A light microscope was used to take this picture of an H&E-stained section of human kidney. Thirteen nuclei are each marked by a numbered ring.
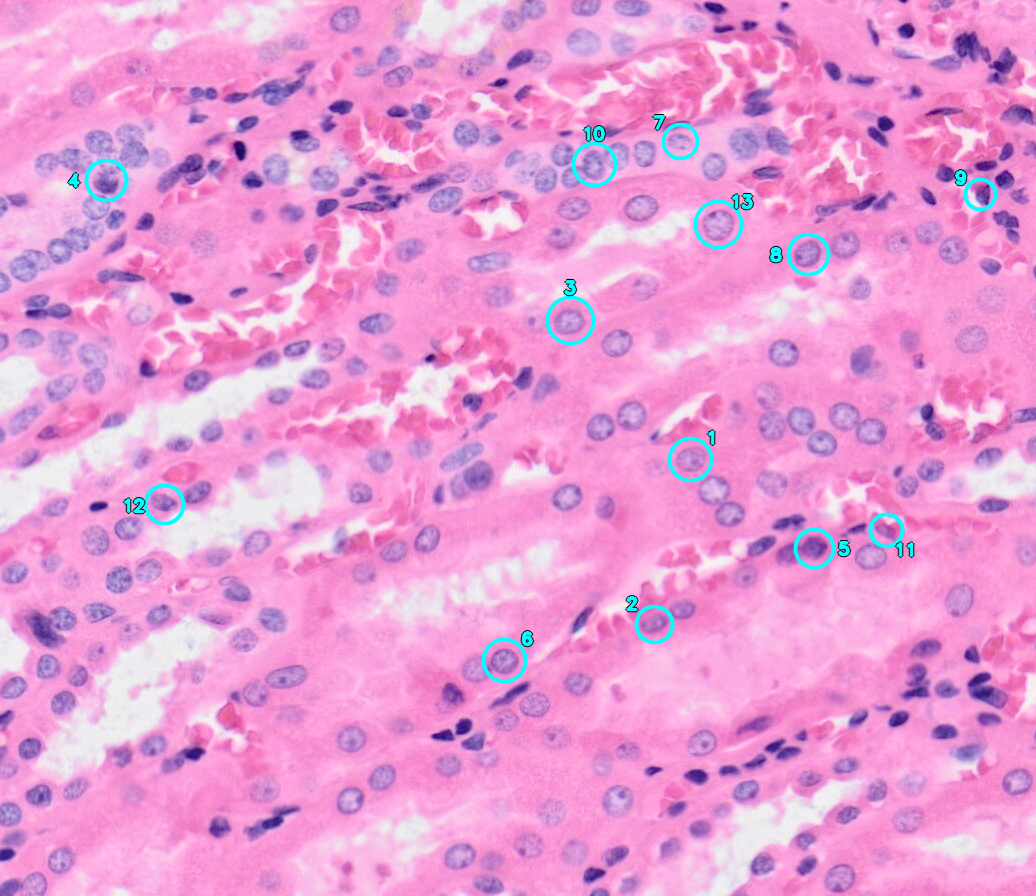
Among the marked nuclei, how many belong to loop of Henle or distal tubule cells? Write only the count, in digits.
1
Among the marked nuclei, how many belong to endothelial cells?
2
